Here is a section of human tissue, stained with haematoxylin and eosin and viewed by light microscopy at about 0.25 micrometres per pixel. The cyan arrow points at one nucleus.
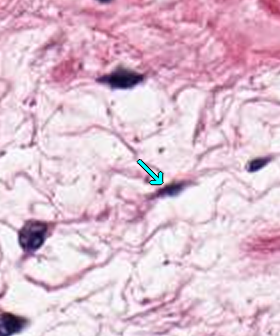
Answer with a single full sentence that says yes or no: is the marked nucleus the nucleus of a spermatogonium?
No, the marked nucleus is not borne by a spermatogonium; it is borne by a supporting cell.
